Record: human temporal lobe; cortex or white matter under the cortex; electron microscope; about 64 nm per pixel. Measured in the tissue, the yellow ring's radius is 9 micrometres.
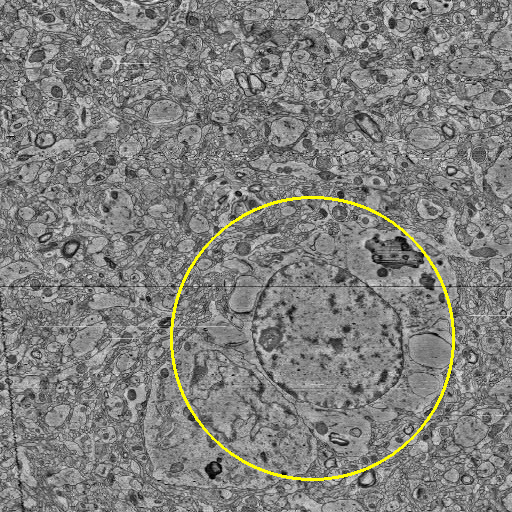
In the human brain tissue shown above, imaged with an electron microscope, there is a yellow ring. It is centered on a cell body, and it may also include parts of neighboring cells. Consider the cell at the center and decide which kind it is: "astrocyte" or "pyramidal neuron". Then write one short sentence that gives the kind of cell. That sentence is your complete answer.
This centered cell body is that of an astrocyte.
